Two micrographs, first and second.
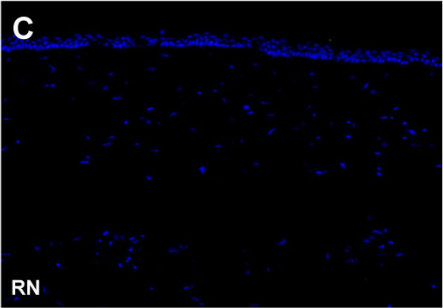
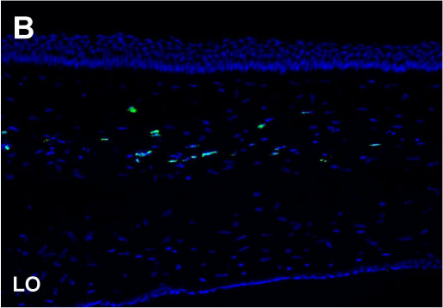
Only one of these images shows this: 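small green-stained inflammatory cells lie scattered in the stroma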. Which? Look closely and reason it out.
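First image: only blue nuclei are seen, with no green cells in the stroma. The answer: the second image.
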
